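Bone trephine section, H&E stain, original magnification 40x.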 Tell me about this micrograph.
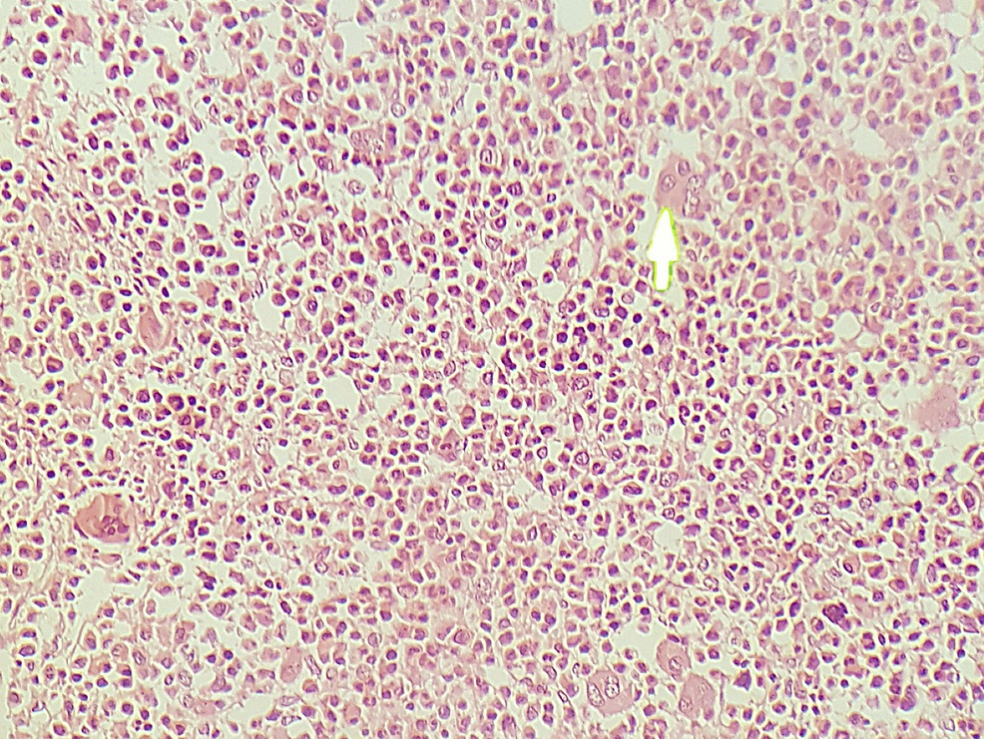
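This is a densely cellular section made up of sheets of small round cells with dark purple nuclei, packed closely with little space between them. Scattered among them are several much larger cells with abundant pink cytoplasm and large nuclei, and these are megakaryocytes. Several of these giant cells appear across the field, in the lower left and upper right for example, which fits increased megakaryopoiesis. The small cells vary somewhat in size, and many have a rim of pale pink cytoplasm around a round nucleus. Pale pink material and a few clear gaps lie between the groups of cells.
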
